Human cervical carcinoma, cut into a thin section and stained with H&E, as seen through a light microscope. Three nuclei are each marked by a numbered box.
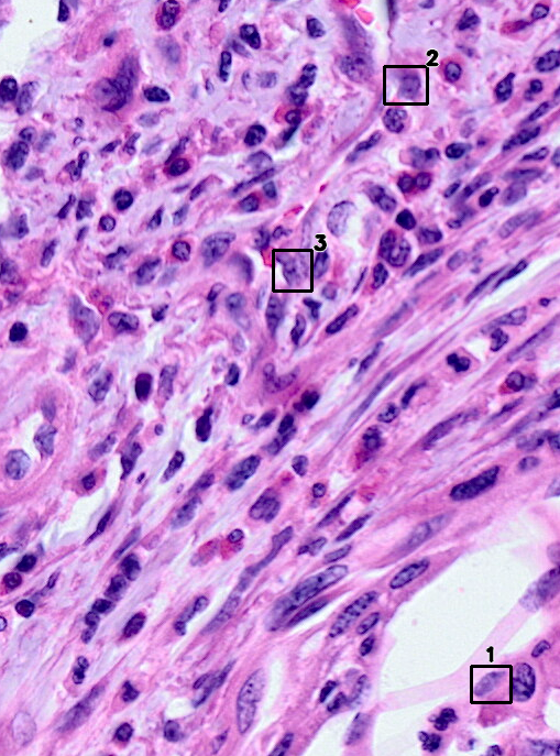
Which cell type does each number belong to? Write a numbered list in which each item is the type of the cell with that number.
1. squamous carcinoma cell
2. endothelial cell
3. endothelial cell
